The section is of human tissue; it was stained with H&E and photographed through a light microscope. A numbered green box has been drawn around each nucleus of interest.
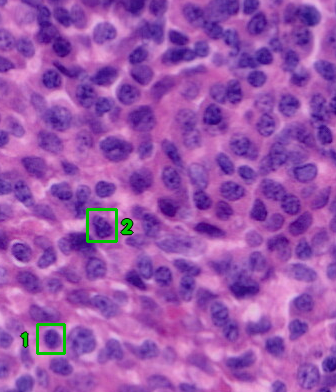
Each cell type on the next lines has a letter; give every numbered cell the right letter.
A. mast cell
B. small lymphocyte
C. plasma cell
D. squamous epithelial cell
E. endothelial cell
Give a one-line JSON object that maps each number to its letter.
{"1": "D", "2": "C"}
